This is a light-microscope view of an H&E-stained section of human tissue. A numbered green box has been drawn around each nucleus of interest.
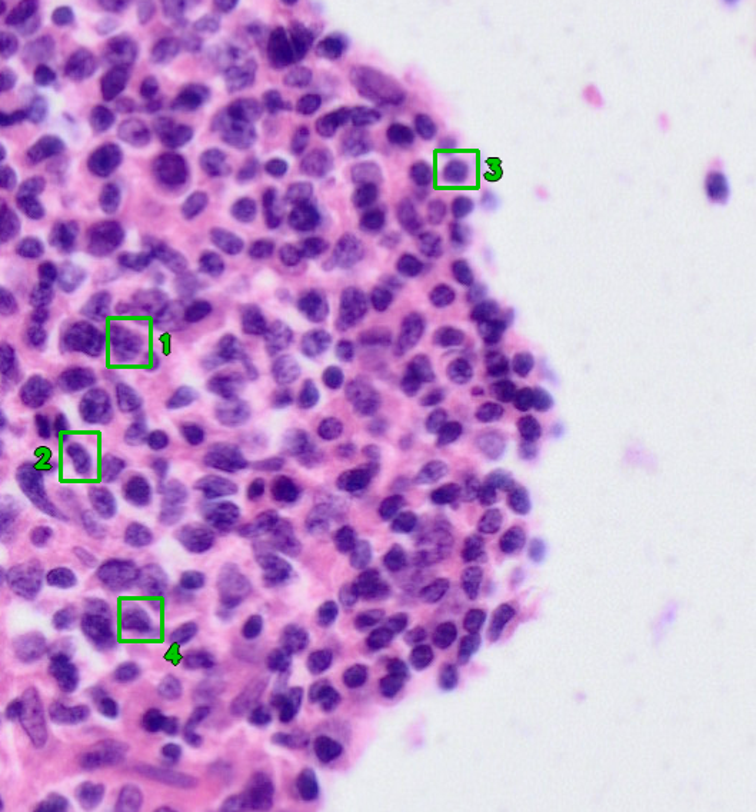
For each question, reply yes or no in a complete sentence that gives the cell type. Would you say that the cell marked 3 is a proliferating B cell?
No, the cell denoted 3 is a small lymphocyte rather than a proliferating B cell.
